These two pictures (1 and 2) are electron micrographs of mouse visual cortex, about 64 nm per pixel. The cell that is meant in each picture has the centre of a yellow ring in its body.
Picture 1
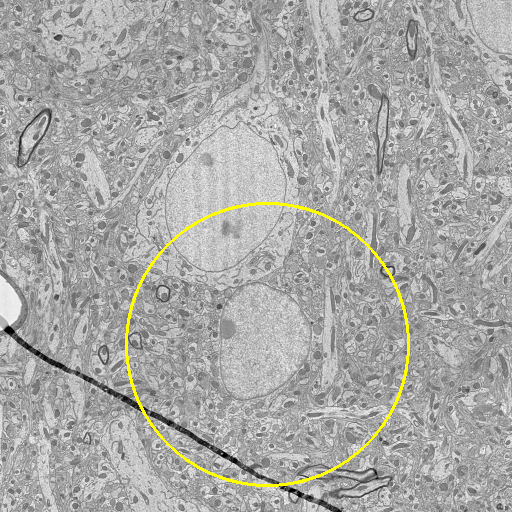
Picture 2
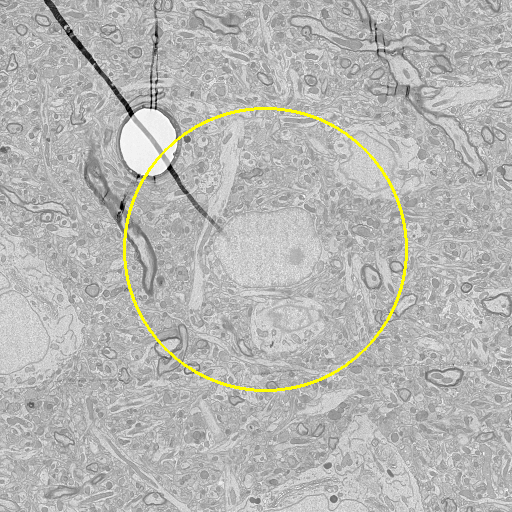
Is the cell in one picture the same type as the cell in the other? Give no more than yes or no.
yes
